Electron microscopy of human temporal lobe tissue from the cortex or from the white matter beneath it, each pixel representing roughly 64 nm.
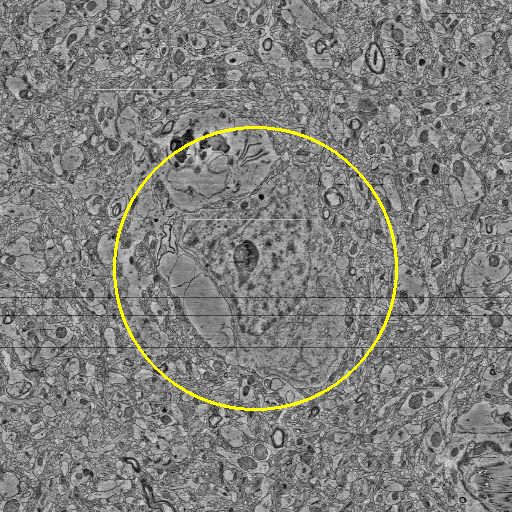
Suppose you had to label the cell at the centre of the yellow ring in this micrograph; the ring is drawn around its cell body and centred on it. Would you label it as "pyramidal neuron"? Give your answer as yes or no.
No, I would label it as another kind.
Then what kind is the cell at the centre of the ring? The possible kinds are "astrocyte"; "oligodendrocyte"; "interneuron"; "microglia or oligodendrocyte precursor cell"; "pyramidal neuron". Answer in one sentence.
What the ring encloses here is an interneuron.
